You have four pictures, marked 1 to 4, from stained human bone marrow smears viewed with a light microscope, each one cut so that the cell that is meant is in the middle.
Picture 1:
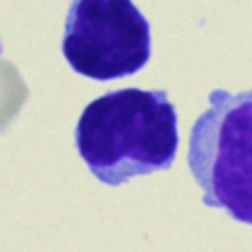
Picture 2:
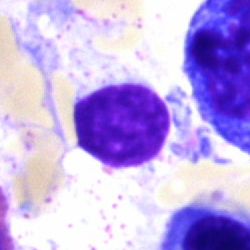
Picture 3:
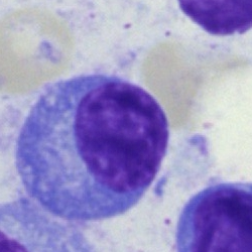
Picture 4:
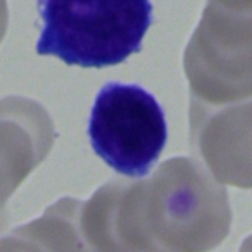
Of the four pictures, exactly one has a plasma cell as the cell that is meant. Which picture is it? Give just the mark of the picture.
3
